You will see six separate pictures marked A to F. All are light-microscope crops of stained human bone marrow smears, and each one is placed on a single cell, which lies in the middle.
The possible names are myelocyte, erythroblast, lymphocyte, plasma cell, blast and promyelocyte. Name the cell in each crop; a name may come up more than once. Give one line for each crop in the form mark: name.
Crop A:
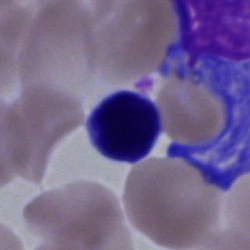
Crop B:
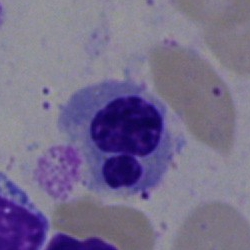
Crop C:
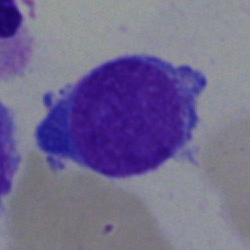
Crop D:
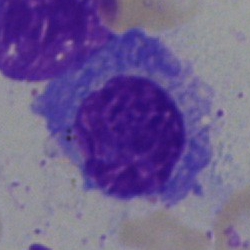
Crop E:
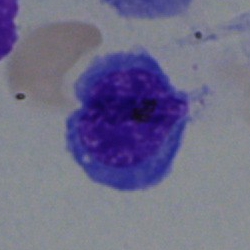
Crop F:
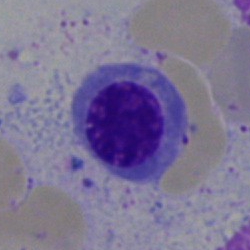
A: lymphocyte
B: erythroblast
C: lymphocyte
D: plasma cell
E: erythroblast
F: erythroblast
